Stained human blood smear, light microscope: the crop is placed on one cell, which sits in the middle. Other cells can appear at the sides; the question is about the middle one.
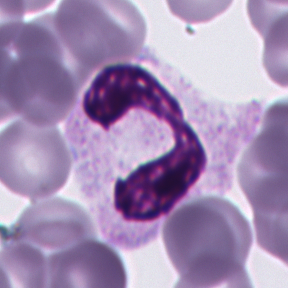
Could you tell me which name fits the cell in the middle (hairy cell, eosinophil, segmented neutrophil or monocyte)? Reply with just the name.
segmented neutrophil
